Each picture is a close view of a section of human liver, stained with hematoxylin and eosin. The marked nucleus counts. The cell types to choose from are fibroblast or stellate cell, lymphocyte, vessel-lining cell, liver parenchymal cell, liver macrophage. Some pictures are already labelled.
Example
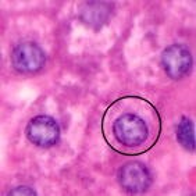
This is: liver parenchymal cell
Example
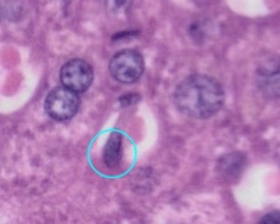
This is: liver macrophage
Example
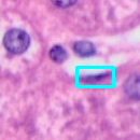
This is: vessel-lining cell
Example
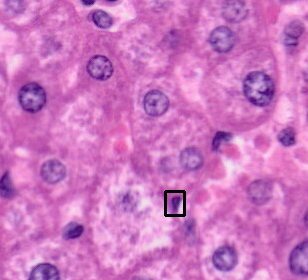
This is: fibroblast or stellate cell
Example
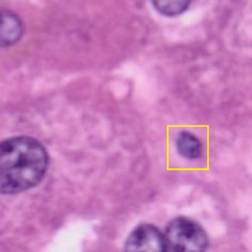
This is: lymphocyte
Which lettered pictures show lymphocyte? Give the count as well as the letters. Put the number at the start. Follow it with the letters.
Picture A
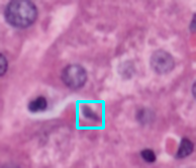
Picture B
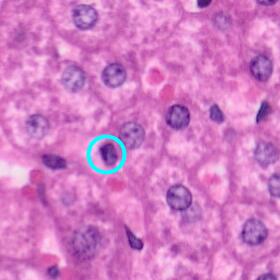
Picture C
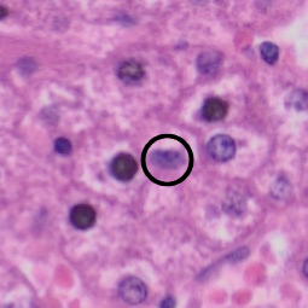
0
